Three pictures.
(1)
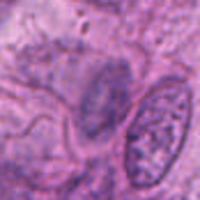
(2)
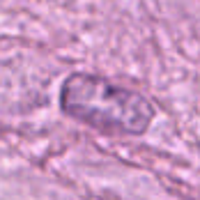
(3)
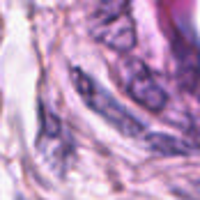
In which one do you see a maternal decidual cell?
In picture 2.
